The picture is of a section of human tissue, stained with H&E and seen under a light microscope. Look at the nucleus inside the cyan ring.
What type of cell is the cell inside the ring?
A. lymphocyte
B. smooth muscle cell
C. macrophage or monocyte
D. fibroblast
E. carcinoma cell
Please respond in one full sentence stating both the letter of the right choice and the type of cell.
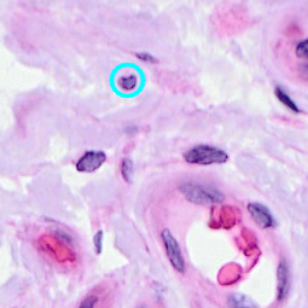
Looking at the options, pick A; the cell inside the ring is a lymphocyte.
